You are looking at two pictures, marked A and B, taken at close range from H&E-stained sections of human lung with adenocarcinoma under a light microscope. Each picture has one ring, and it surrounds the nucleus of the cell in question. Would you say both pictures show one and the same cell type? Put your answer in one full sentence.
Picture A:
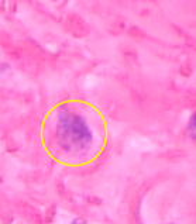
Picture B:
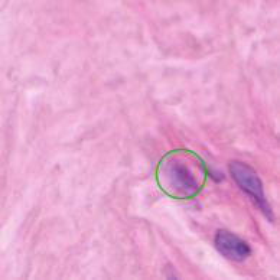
No. Picture A shows a fibroblast, but picture B shows a “smooth muscle cell or pericyte”.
